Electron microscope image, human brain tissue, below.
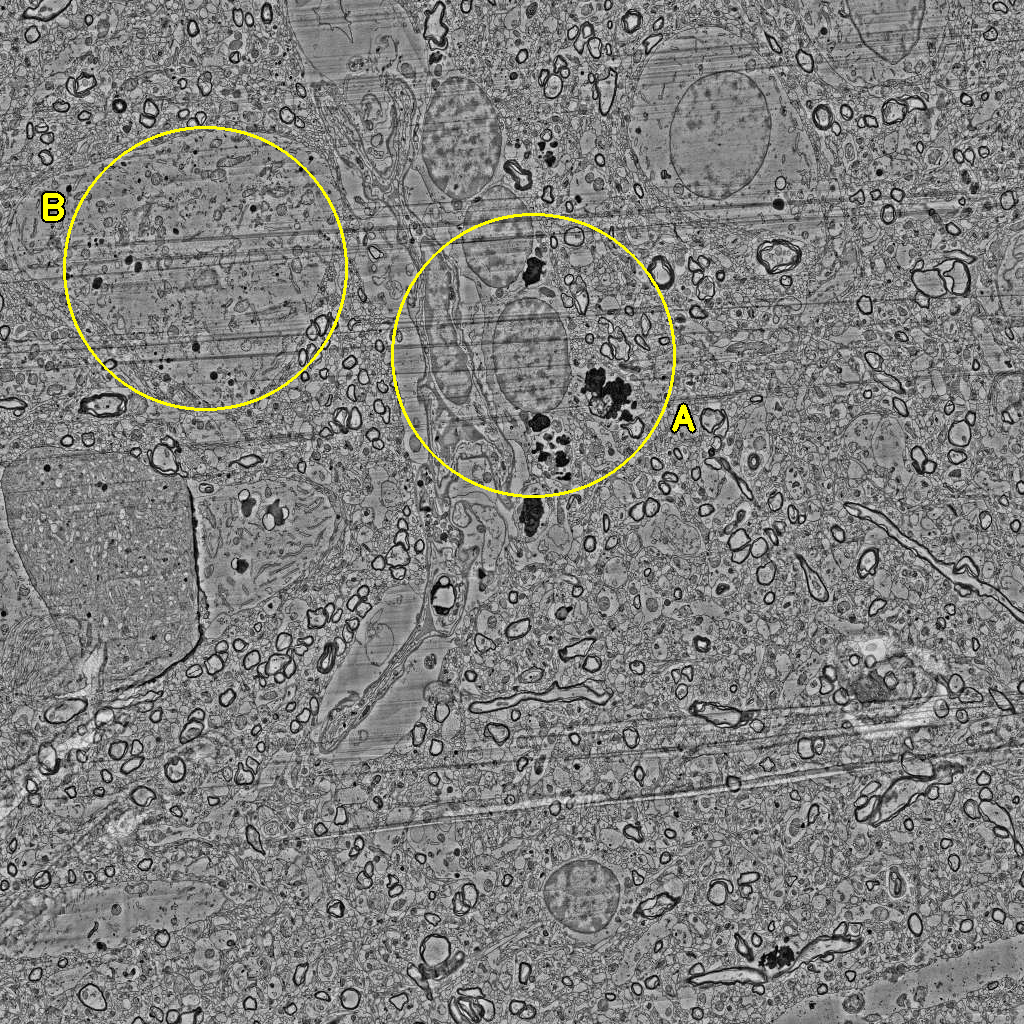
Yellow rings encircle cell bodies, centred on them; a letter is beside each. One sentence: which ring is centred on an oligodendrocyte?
It is ring A.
